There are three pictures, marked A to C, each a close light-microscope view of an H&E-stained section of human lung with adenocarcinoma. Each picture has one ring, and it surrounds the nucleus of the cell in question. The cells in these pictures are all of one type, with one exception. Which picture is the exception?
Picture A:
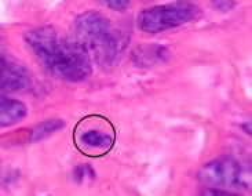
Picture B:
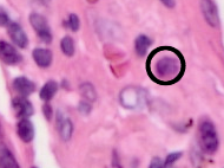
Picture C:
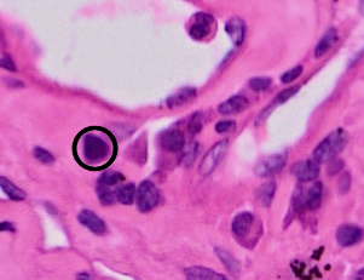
A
